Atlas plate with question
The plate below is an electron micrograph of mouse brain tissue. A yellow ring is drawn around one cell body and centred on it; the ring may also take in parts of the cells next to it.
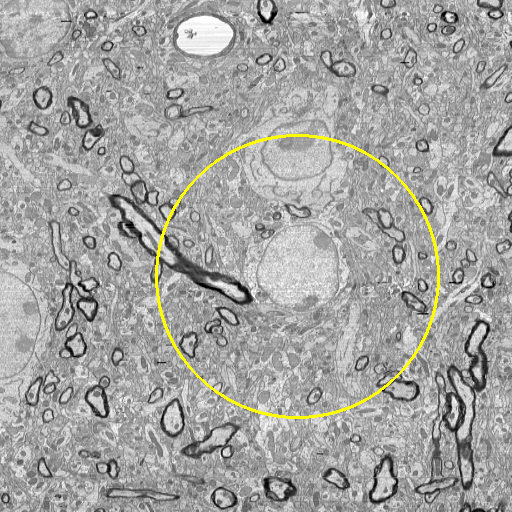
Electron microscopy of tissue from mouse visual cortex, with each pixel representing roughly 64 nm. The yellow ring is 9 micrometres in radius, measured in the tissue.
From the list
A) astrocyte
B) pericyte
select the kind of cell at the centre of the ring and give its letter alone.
A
